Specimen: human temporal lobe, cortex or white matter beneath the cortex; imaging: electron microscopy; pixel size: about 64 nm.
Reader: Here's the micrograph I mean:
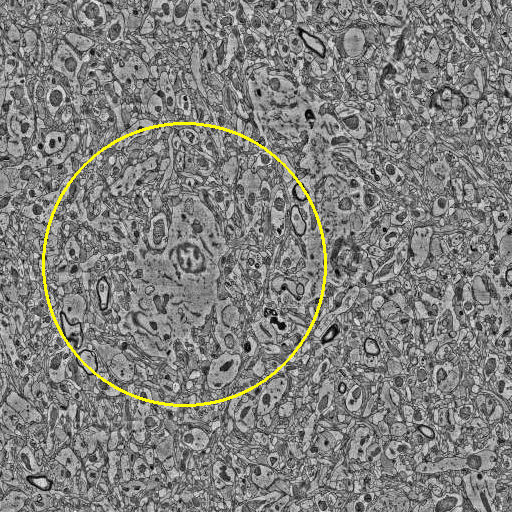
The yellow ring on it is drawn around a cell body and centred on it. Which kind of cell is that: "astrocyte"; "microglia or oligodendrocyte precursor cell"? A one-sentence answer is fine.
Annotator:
The ring is centred on an astrocyte.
